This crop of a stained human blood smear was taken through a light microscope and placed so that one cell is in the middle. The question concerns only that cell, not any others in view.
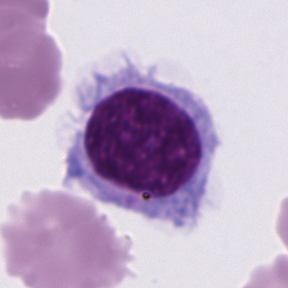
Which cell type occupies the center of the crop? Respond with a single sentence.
Where the crop is centred, there is a hairy cell.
